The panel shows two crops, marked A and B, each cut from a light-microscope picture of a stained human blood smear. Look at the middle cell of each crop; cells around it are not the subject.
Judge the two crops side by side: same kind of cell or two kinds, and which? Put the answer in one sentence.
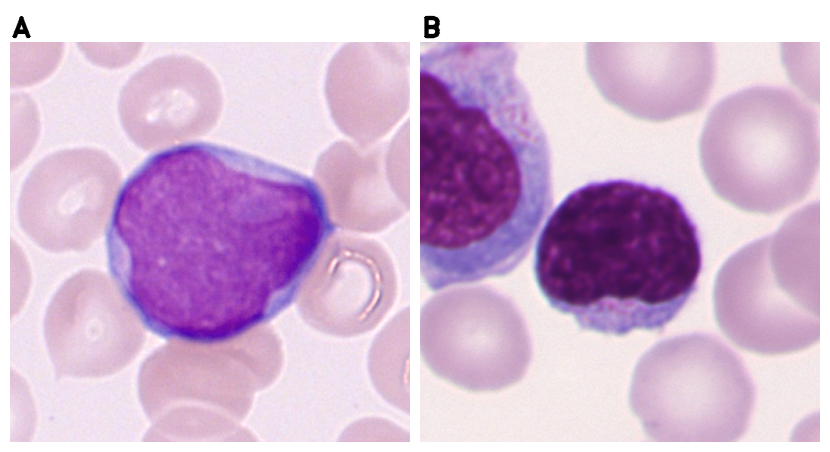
No, a blast is centred in crop A, and a lymphocyte is centred in crop B.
